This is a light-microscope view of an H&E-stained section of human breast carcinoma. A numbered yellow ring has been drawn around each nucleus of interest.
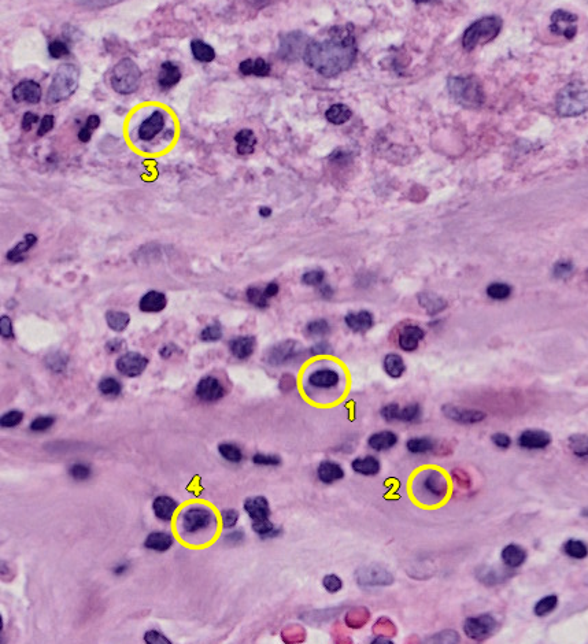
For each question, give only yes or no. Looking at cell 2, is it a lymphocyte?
no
